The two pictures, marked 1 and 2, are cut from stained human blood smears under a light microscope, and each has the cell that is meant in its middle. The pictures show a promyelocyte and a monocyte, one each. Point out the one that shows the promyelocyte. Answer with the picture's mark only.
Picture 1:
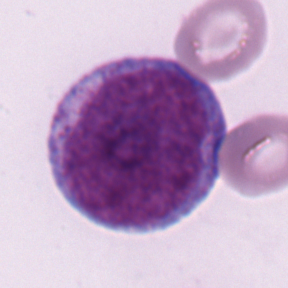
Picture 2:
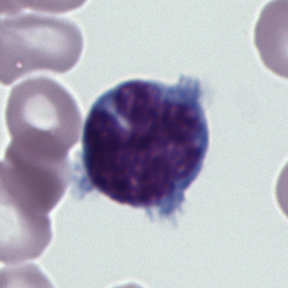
1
